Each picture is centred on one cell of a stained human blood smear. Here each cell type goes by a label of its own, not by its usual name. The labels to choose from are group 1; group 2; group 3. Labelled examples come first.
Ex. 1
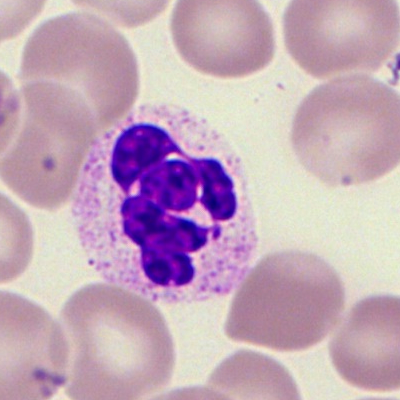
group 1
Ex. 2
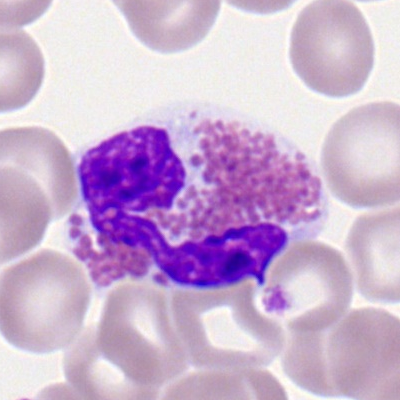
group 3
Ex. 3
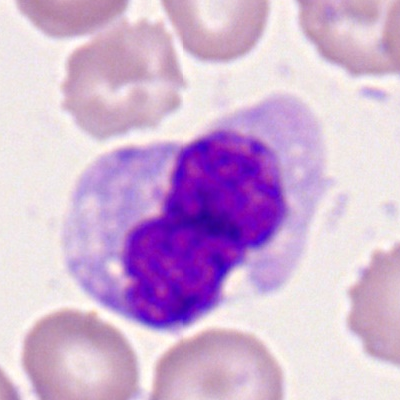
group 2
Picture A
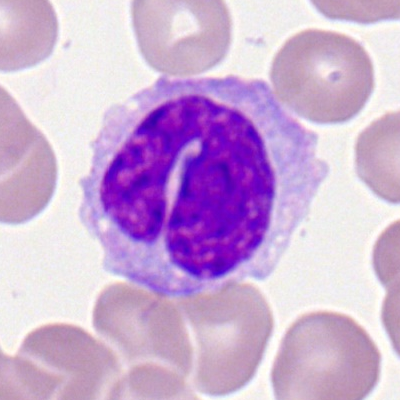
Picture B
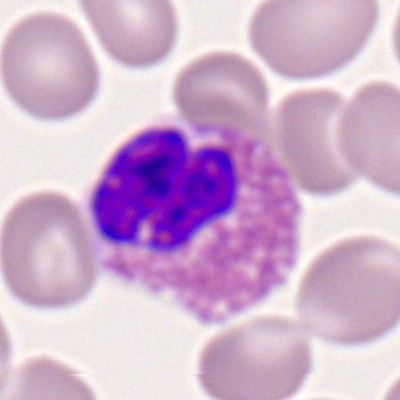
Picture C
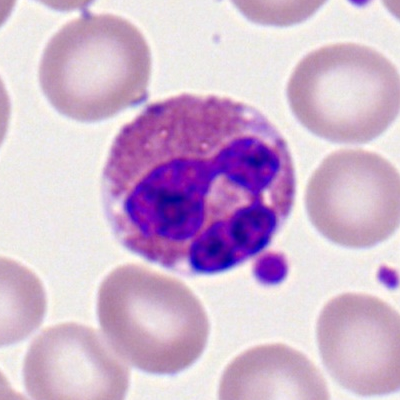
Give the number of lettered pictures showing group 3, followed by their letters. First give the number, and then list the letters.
2: B, C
